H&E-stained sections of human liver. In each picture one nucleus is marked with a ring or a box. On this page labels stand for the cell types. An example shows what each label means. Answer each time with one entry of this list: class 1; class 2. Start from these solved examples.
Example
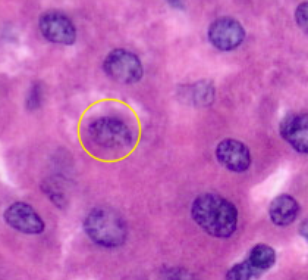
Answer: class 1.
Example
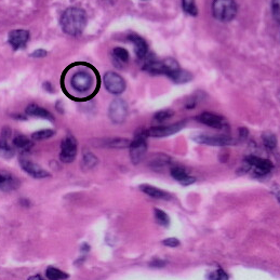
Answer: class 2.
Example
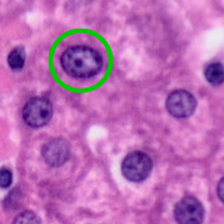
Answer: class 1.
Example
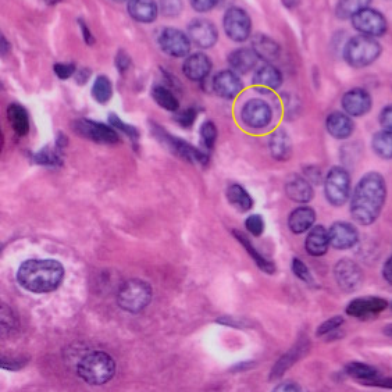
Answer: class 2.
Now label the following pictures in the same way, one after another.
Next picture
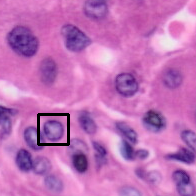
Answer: class 2.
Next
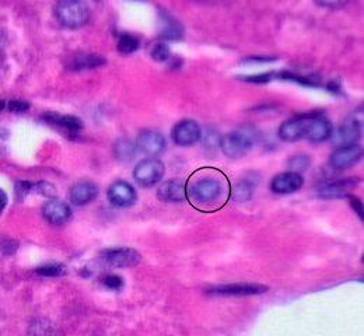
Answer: class 2.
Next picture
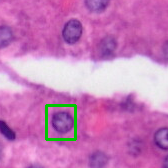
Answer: class 1.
